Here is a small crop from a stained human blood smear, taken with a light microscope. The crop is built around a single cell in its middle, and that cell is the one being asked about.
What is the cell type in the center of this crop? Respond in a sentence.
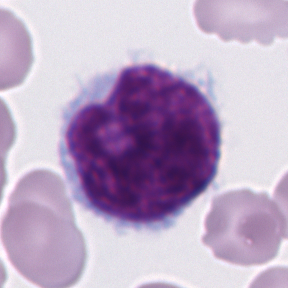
The cell in the middle of the field of view is a hairy cell.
